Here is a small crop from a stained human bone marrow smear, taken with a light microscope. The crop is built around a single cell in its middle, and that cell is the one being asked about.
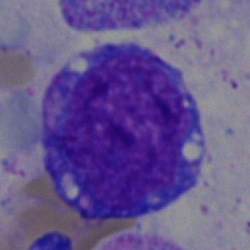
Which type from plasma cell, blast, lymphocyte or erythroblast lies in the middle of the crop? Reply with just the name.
blast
